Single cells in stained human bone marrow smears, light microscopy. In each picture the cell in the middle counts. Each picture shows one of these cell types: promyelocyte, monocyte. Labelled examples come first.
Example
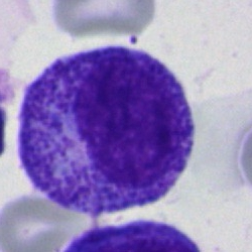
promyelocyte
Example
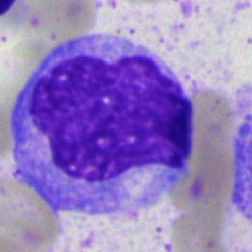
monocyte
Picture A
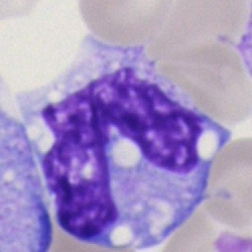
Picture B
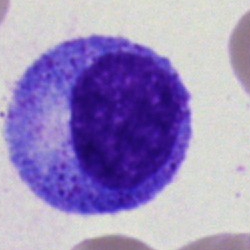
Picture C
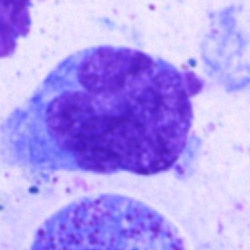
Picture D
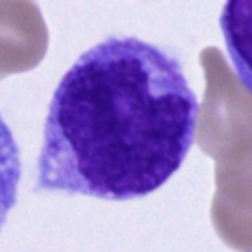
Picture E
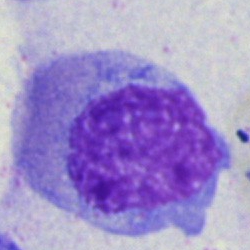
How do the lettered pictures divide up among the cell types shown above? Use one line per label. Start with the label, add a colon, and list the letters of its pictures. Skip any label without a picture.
promyelocyte: B
monocyte: A, C, D, E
